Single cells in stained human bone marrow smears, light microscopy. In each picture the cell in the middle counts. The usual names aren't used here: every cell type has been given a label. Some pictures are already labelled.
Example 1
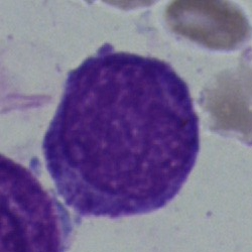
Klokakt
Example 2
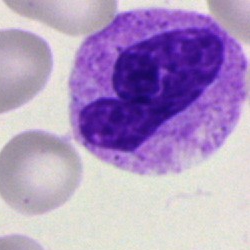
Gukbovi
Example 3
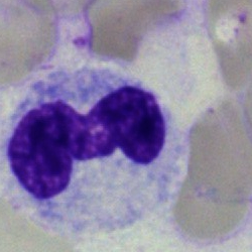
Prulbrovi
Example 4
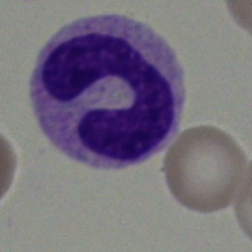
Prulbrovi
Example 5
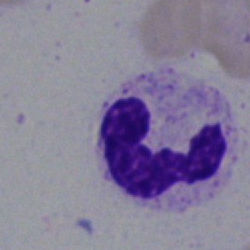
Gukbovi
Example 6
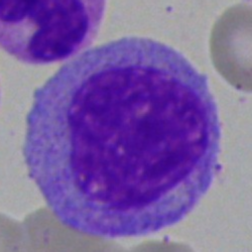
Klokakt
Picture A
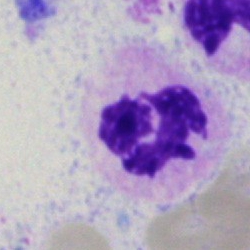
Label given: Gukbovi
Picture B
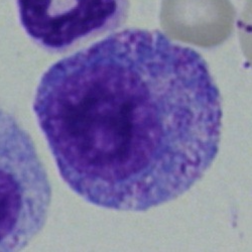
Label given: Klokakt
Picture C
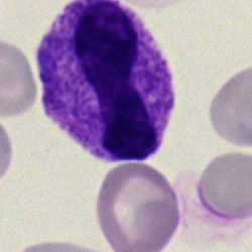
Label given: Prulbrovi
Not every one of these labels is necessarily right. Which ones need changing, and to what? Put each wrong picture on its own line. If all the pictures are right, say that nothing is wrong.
Nothing to fix; every label fits.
